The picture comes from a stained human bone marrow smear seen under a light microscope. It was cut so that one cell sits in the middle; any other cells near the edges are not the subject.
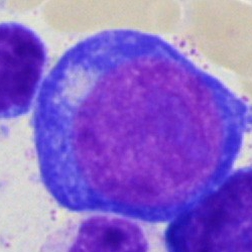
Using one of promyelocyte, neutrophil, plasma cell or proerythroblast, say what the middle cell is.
proerythroblast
